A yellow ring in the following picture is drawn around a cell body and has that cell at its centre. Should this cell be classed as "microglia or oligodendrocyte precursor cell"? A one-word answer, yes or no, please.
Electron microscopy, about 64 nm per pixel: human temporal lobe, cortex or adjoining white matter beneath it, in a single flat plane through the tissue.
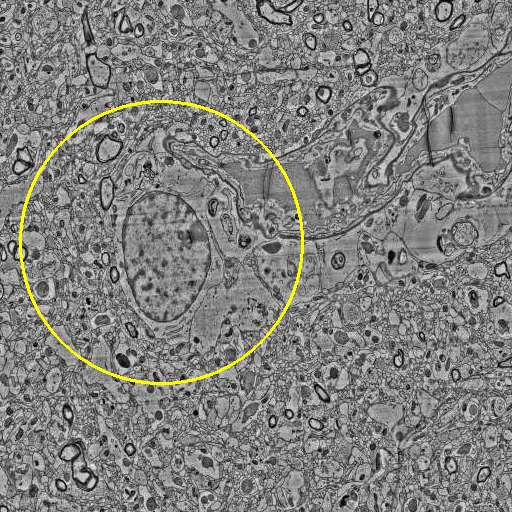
Yes, it is of that kind.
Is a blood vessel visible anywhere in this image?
Yes, the picture includes a blood vessel.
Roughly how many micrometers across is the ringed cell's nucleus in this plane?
In this plane the nucleus spans approximately 8 by 6 micrometers.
